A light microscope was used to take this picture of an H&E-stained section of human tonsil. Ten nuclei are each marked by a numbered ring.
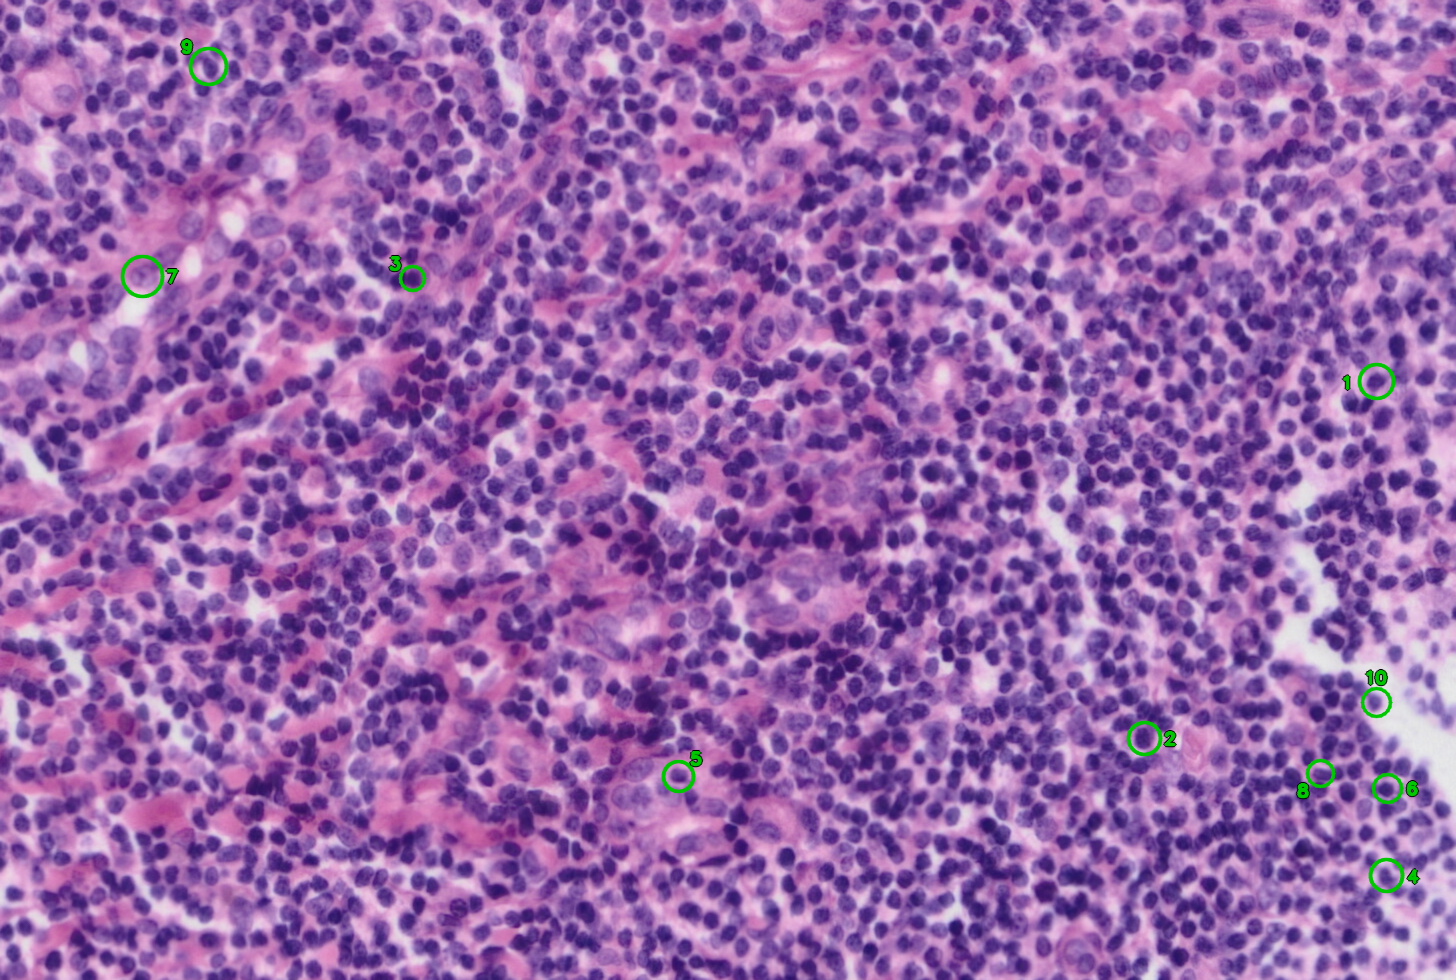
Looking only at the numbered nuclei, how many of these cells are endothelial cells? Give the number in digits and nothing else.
3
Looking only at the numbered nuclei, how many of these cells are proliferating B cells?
1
